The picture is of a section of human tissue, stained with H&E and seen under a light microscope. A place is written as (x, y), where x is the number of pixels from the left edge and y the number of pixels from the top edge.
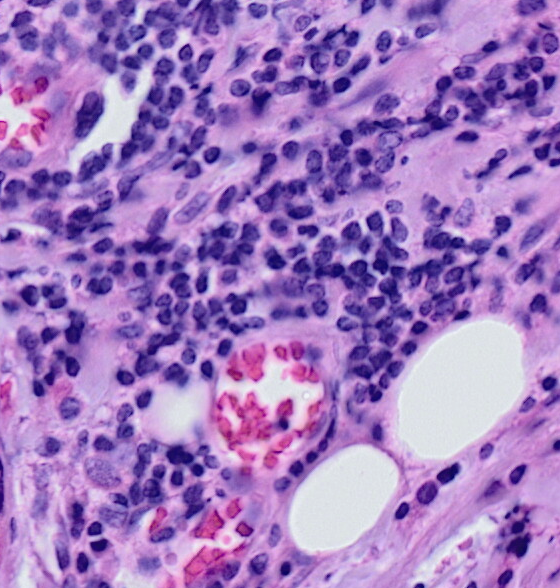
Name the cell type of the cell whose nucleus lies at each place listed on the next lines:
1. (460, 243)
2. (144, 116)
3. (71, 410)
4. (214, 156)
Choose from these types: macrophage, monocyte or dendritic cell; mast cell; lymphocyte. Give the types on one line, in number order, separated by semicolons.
lymphocyte; lymphocyte; mast cell; lymphocyte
